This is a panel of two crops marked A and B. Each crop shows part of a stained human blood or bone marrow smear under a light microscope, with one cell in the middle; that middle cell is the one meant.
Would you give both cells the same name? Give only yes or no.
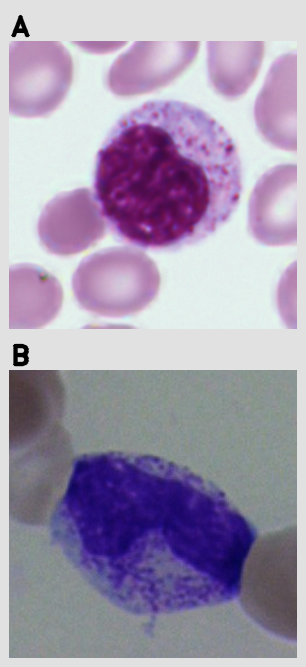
yes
